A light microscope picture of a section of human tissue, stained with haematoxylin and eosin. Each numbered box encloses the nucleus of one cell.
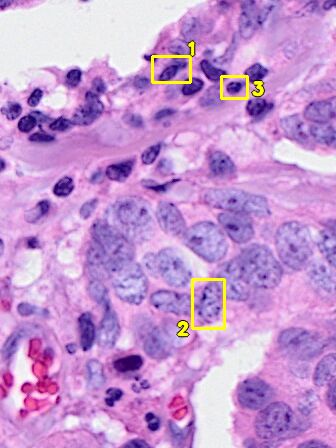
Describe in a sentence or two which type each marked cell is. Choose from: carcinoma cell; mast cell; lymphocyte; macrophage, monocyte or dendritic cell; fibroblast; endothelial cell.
Cells 1 and 3 are lymphocytes. Cell 2 is a carcinoma cell.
